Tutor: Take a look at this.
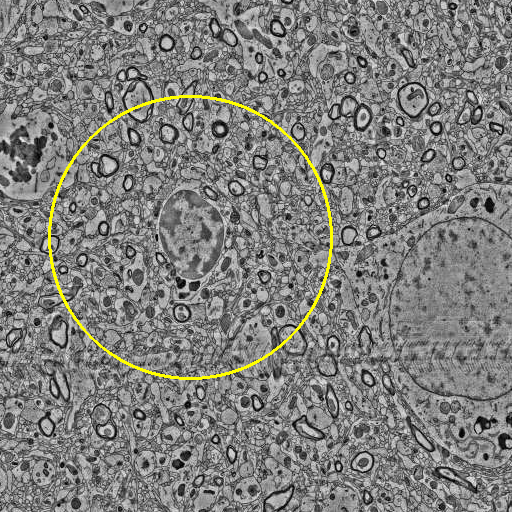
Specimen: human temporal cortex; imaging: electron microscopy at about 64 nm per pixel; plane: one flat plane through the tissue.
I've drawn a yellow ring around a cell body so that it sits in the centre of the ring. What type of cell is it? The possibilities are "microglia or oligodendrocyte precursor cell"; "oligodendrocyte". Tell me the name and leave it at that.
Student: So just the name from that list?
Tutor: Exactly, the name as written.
microglia or oligodendrocyte precursor cell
